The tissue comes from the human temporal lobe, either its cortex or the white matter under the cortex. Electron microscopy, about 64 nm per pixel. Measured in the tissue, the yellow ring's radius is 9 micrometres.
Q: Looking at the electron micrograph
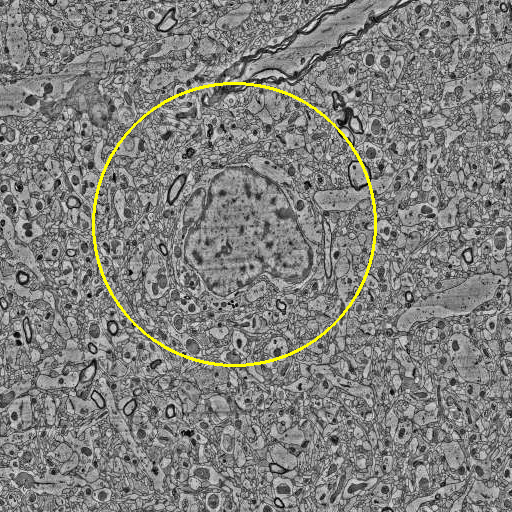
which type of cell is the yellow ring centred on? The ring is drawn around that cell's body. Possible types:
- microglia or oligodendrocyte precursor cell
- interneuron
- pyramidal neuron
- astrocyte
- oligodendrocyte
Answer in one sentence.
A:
The yellow ring is centred on a microglial cell or oligodendrocyte precursor cell.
